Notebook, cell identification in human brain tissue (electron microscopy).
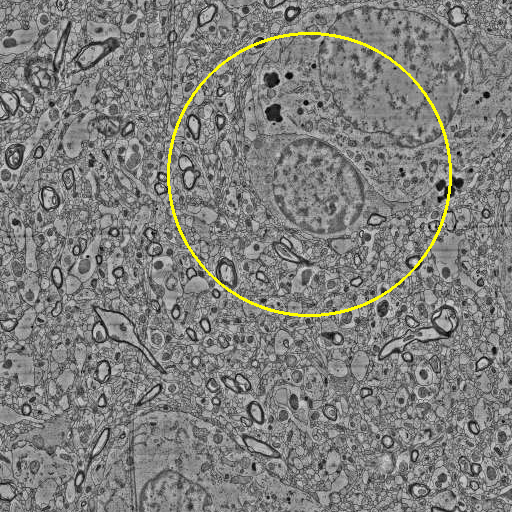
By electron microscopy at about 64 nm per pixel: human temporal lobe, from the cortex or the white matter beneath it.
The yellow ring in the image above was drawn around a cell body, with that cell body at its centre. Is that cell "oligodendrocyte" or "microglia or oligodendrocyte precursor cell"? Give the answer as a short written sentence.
The cell in the ring is an oligodendrocyte.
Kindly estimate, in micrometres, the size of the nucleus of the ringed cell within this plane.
Roughly 7 by 5 micrometres is the size of the nucleus in this plane.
